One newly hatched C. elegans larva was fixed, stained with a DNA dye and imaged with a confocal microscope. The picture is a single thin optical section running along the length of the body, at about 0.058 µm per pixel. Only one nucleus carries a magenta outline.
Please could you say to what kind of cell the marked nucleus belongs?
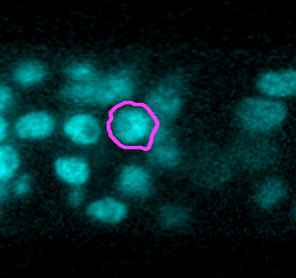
cell of the excretory system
